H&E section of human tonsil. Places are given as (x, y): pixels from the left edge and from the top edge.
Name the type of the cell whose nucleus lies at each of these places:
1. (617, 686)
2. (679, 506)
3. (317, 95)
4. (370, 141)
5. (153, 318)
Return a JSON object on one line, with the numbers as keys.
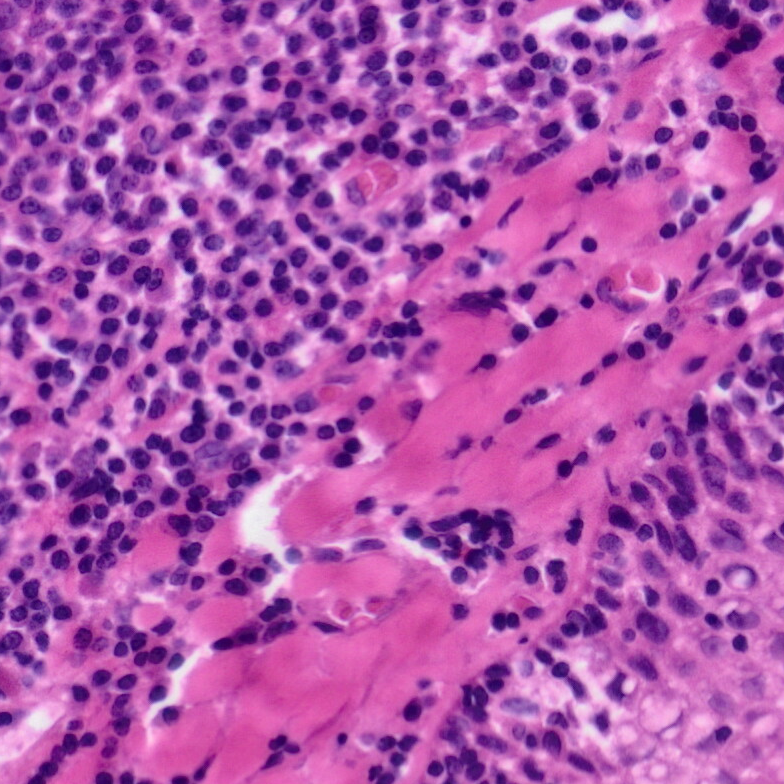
{"1": "squamous epithelial cell", "2": "squamous epithelial cell", "3": "plasma cell", "4": "plasma cell", "5": "plasma cell"}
